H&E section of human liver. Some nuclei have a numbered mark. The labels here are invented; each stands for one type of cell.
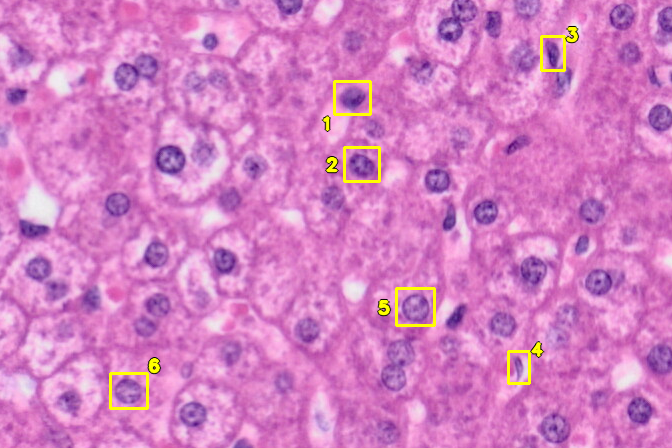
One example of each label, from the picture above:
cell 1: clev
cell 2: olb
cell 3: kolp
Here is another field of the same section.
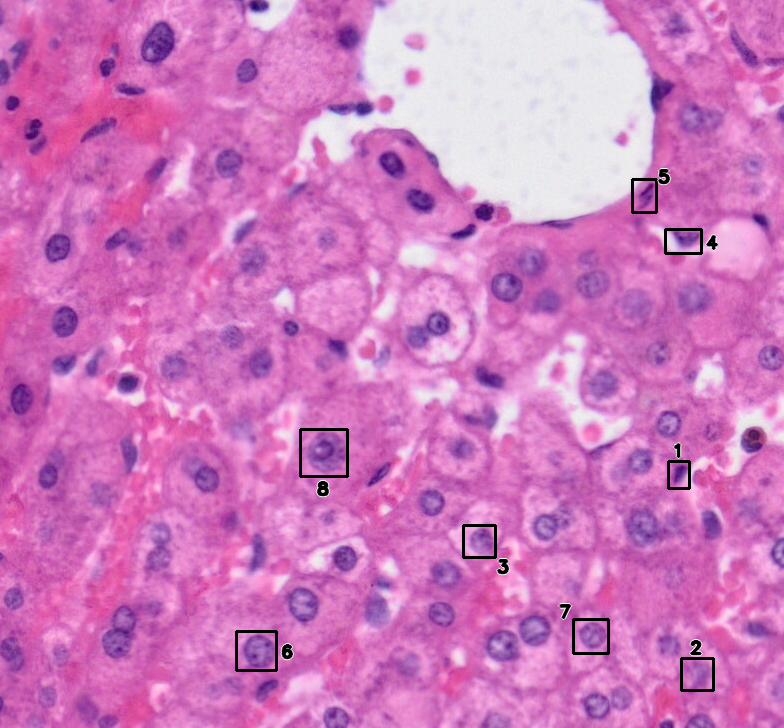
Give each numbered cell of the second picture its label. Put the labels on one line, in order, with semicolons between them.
kolp; olb; olb; clev; kolp; olb; olb; olb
